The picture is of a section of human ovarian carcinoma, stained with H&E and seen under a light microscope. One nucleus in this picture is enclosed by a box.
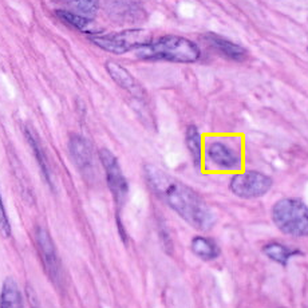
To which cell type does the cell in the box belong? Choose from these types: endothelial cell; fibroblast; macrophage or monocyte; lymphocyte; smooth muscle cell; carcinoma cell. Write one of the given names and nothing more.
macrophage or monocyte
